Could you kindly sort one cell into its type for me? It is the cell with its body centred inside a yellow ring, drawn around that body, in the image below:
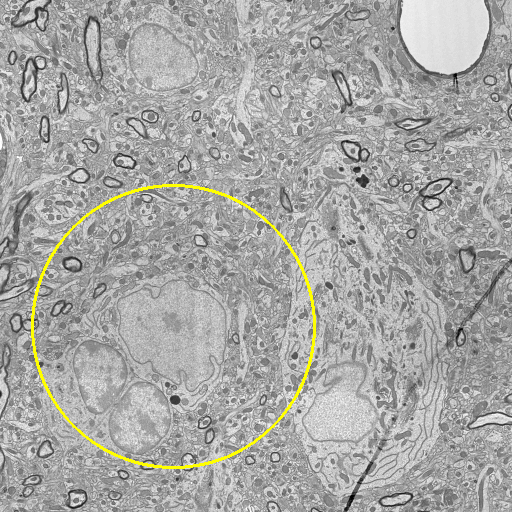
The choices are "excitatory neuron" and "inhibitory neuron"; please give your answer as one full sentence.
The cell whose body lies centred in the yellow ring here is an inhibitory neuron.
